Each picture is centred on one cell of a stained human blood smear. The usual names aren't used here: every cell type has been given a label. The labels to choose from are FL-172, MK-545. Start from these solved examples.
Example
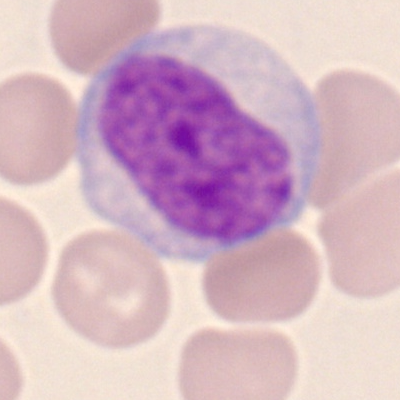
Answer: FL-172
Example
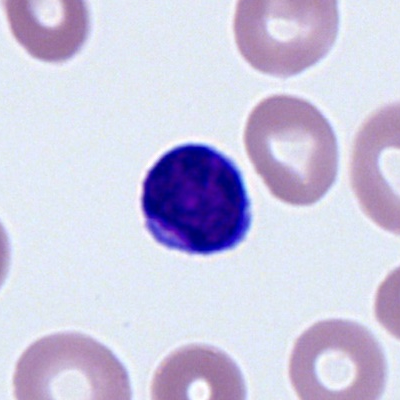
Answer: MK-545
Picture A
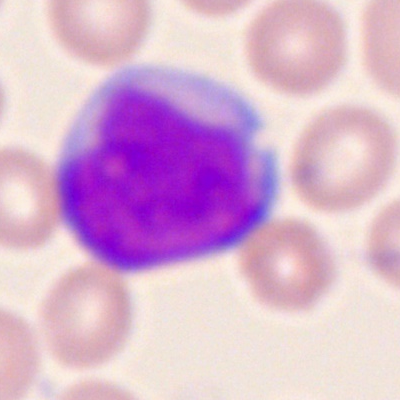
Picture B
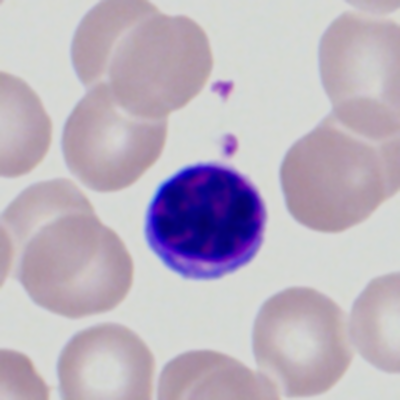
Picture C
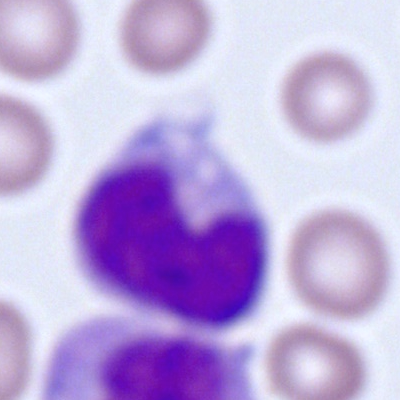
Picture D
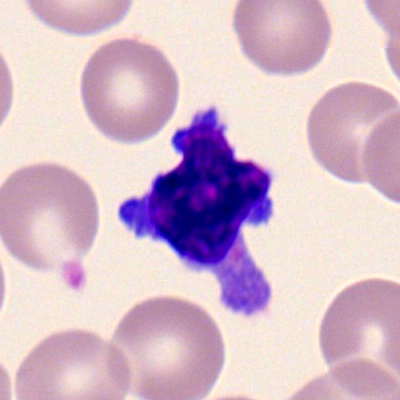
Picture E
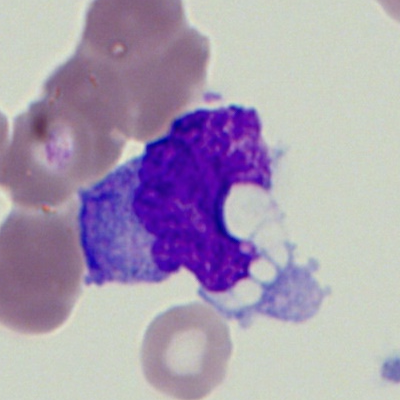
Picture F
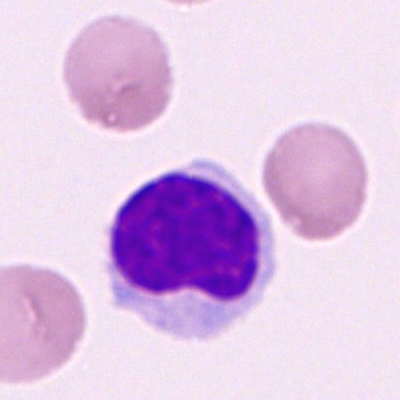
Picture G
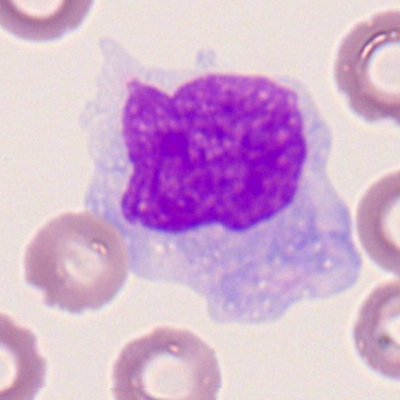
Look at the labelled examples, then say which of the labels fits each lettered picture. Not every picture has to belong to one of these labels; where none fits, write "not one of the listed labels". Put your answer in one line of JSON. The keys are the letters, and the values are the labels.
{"A": "not one of the listed labels", "B": "MK-545", "C": "FL-172", "D": "MK-545", "E": "FL-172", "F": "MK-545", "G": "FL-172"}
